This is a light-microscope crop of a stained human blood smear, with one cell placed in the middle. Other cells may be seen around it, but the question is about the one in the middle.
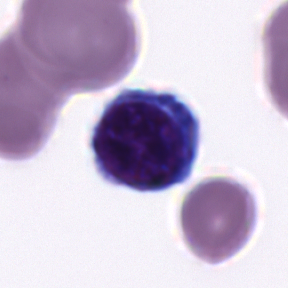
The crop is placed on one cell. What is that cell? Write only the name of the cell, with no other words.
plasma cell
